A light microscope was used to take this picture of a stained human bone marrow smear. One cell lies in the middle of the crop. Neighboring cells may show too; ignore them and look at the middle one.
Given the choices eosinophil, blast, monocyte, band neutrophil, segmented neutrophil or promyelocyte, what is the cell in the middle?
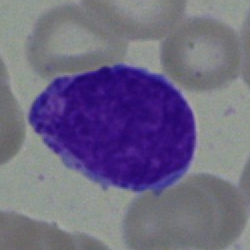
blast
